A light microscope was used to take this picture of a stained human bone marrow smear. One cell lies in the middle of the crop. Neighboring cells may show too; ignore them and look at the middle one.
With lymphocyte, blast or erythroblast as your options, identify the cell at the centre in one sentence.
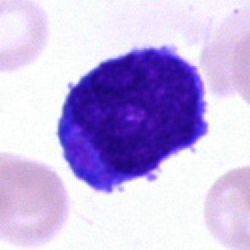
Standing at the centre of this crop is a blast.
